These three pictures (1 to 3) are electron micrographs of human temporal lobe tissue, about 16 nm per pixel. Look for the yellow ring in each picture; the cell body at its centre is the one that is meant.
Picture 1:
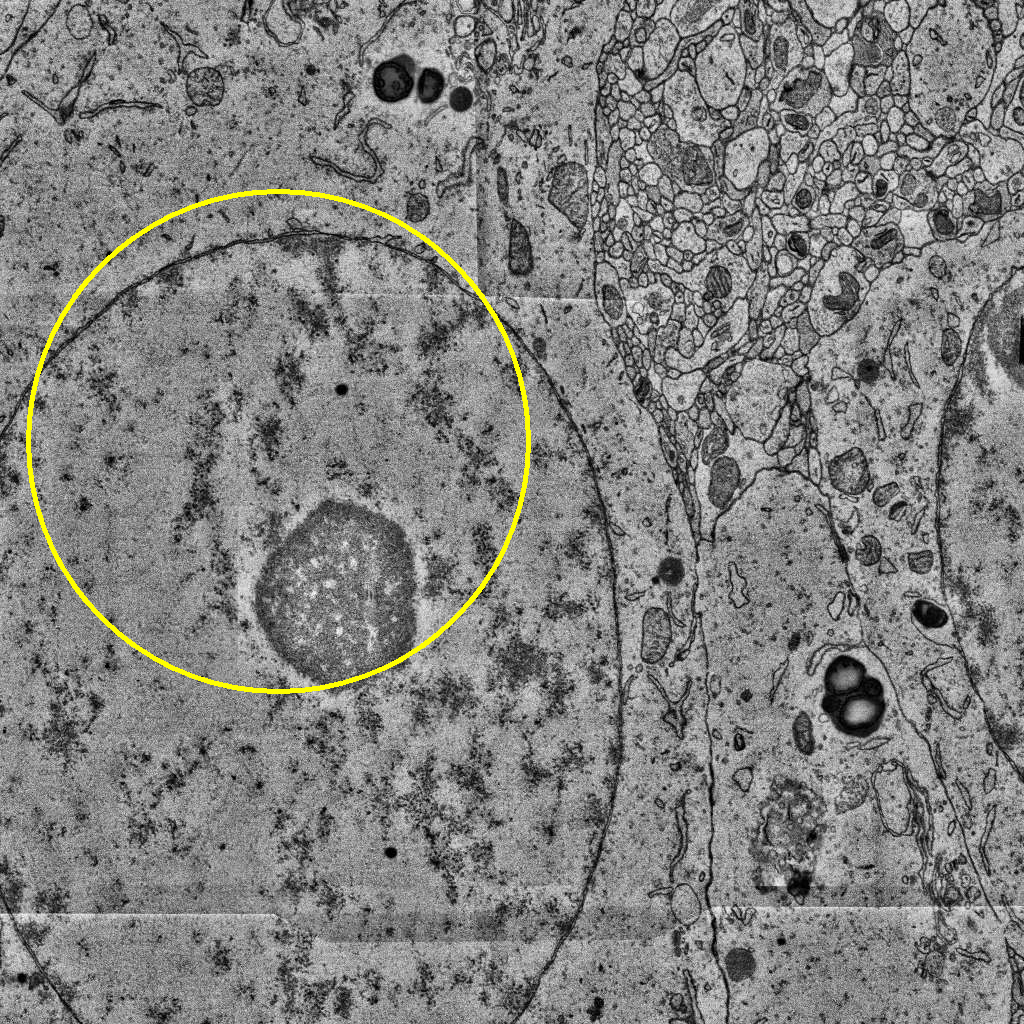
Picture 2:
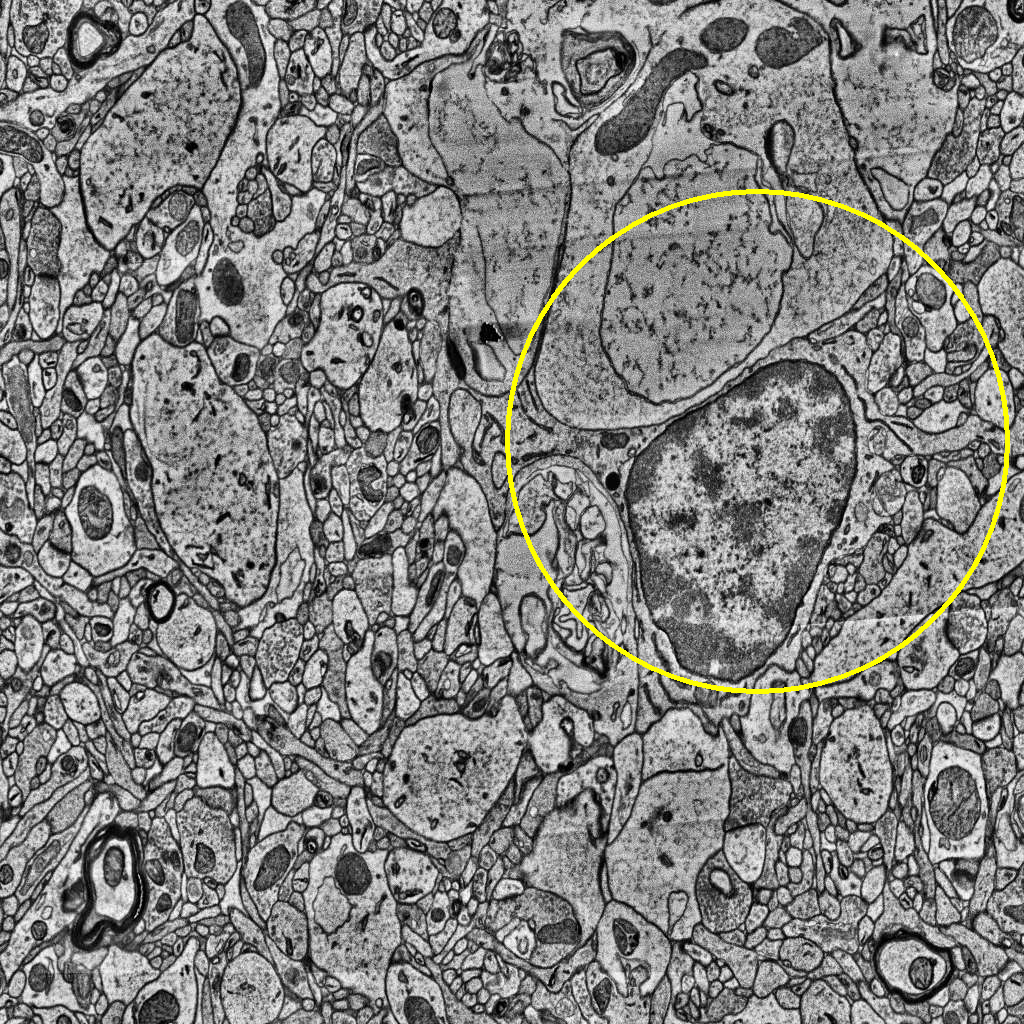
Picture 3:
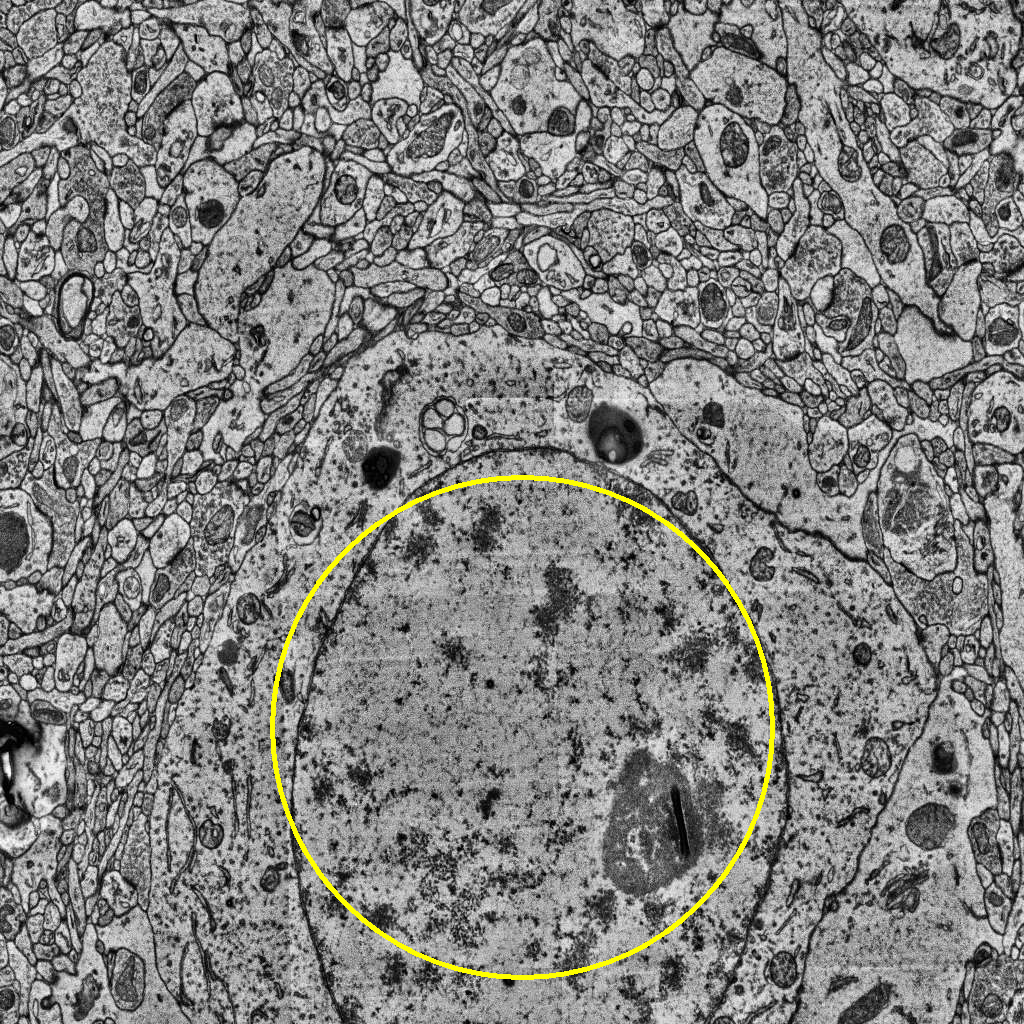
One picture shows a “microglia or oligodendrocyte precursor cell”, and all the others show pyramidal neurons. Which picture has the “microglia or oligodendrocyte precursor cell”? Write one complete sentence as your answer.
The cell in picture 2 is the “microglia or oligodendrocyte precursor cell”.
